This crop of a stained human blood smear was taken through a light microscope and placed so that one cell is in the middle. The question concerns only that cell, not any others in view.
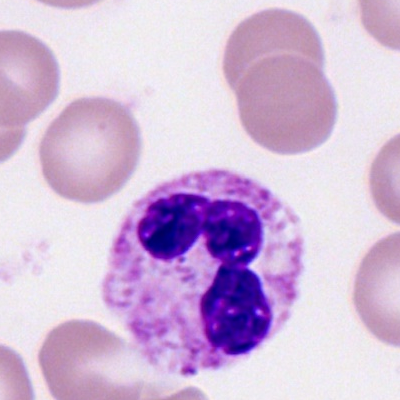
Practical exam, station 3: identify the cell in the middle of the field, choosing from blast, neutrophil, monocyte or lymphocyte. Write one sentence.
The centered cell in this crop is a neutrophil.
